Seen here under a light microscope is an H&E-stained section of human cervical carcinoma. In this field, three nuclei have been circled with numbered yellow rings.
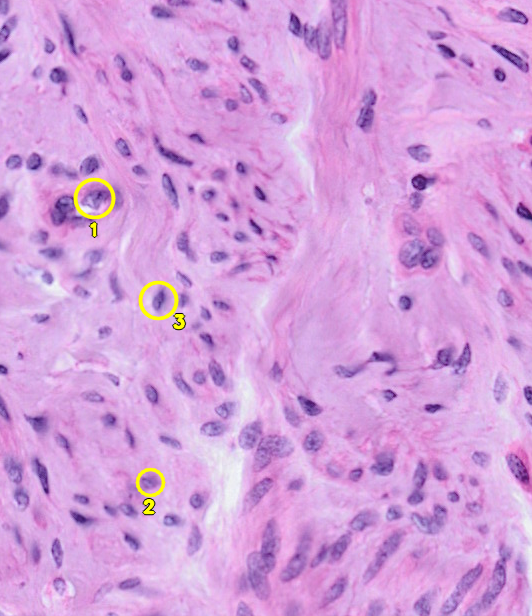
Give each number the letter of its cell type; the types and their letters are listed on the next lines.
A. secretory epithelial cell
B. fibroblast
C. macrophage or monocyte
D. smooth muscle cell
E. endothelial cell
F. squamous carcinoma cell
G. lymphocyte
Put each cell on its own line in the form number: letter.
1: E
2: D
3: B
